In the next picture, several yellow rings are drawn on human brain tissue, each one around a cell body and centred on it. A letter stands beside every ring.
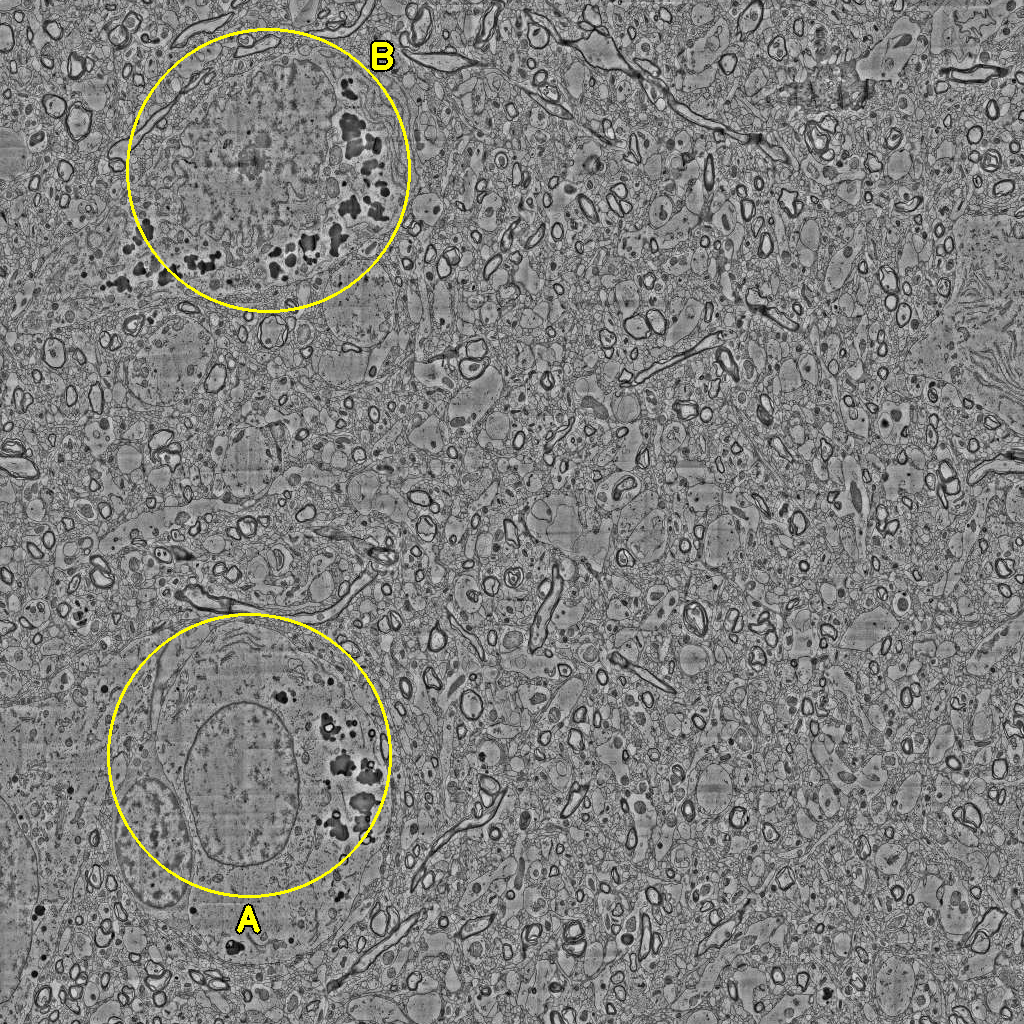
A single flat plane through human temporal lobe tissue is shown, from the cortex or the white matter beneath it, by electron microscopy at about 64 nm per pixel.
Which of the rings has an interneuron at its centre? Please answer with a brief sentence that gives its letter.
Ring B has it at its centre.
